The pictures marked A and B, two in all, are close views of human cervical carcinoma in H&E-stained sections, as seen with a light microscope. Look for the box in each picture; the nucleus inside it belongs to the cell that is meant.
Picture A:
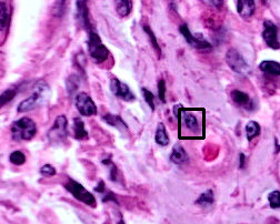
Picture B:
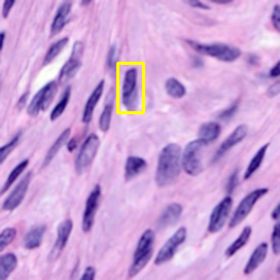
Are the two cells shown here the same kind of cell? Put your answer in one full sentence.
No. Picture A shows an endothelial cell, but picture B shows a fibroblast.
